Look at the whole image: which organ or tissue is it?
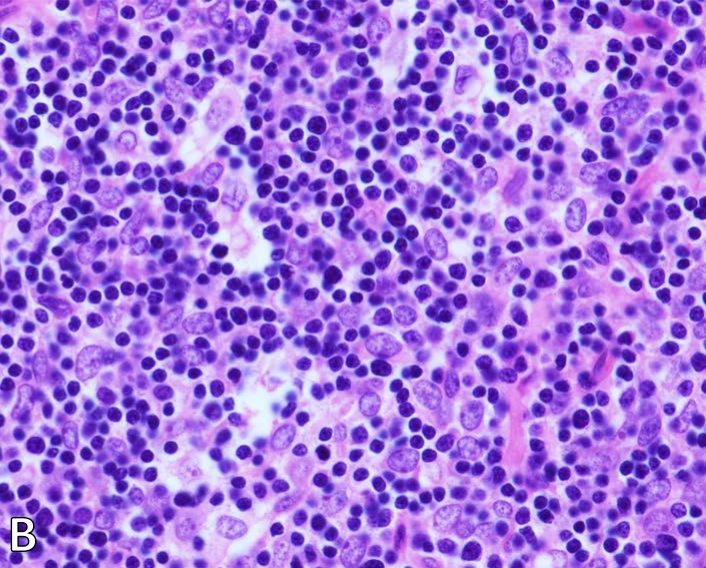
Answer: thymoma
